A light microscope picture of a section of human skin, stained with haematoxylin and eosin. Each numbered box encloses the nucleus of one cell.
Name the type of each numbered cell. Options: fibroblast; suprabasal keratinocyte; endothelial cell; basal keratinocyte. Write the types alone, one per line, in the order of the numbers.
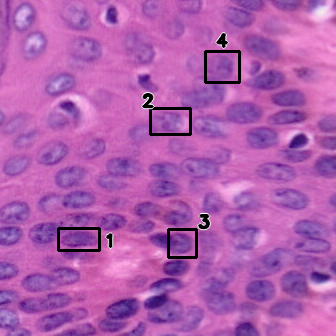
basal keratinocyte
suprabasal keratinocyte
basal keratinocyte
basal keratinocyte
